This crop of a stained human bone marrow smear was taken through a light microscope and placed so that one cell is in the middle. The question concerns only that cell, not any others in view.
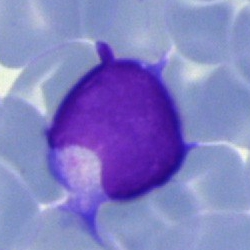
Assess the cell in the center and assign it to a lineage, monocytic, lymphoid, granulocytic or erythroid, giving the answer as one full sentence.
The cell at the middle of this crop is assigned to the lymphoid lineage.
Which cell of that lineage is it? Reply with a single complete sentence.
Standing at the centre of this crop is a lymphocyte.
